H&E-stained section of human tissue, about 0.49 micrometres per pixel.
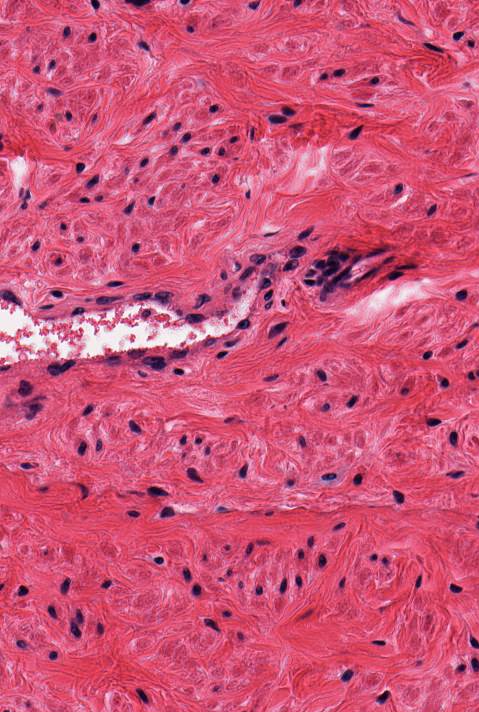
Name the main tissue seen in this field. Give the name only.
dense connective tissue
